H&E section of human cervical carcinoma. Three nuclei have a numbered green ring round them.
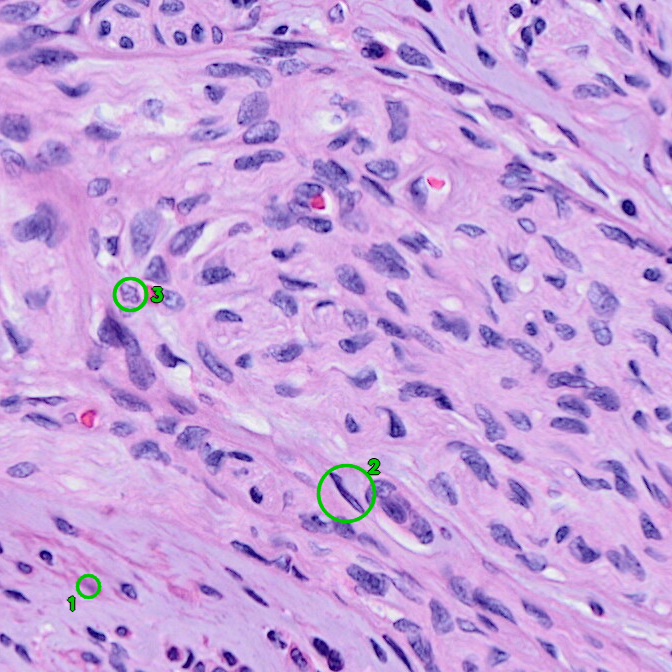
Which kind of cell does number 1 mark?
smooth muscle cell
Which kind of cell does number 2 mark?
fibroblast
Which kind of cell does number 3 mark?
endothelial cell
